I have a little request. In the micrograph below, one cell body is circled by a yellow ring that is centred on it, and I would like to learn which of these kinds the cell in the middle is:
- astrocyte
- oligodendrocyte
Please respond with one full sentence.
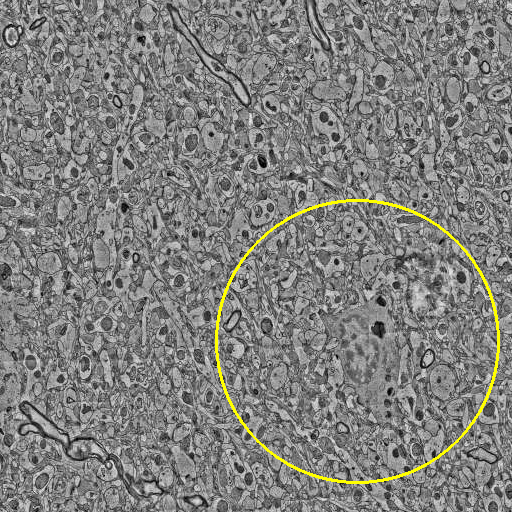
The cell sitting in the middle of the yellow ring in the micrograph is an oligodendrocyte.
